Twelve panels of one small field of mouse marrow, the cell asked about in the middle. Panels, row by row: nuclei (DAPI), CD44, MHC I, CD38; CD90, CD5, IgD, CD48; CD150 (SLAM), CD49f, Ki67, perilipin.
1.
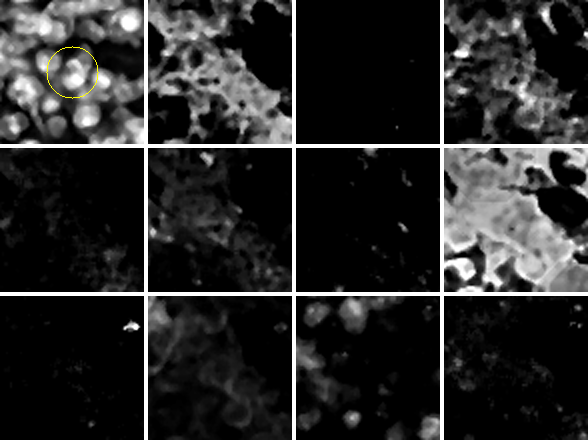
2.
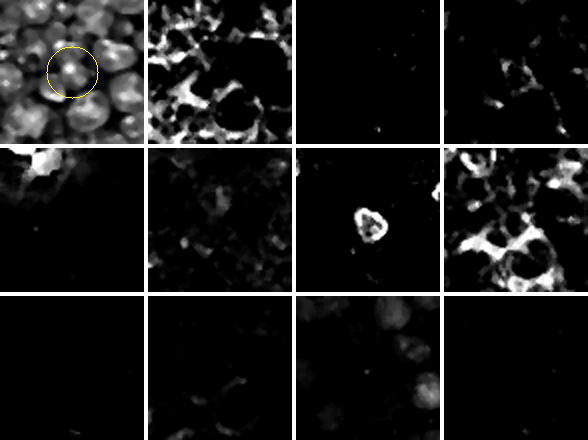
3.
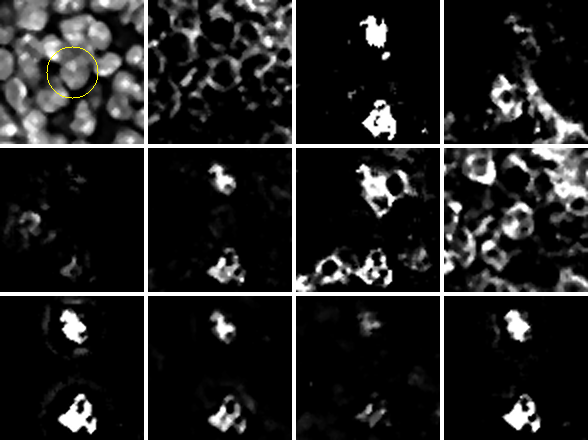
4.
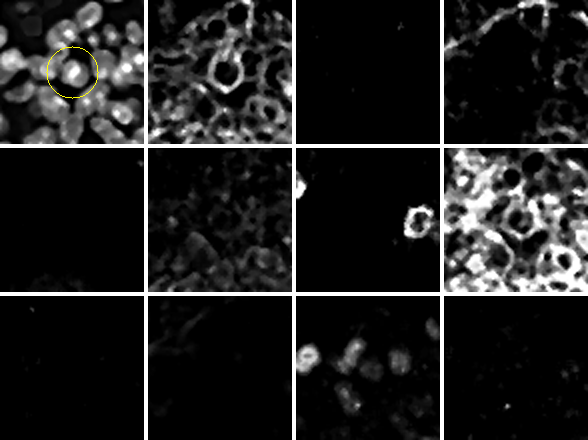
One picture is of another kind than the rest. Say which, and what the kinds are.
Picture 2 shows a B cell; the rest show monocytes.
